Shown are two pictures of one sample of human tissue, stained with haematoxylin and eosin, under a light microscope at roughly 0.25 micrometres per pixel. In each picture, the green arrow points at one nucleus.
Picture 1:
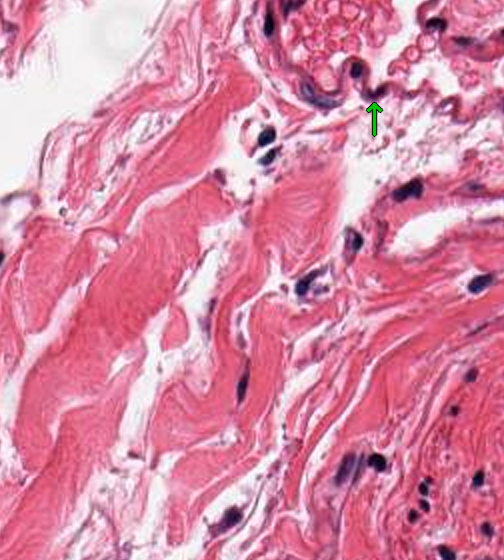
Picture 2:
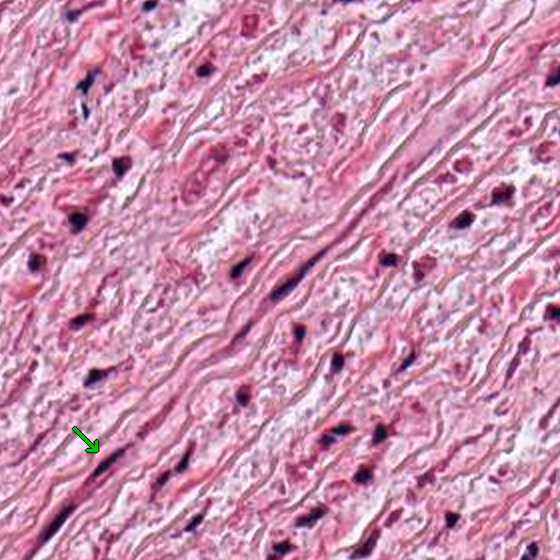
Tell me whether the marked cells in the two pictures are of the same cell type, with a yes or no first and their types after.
No, the first is an endothelial cell and the second a smooth muscle cell.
